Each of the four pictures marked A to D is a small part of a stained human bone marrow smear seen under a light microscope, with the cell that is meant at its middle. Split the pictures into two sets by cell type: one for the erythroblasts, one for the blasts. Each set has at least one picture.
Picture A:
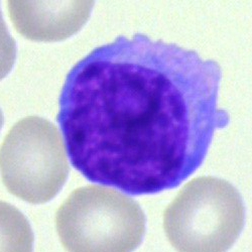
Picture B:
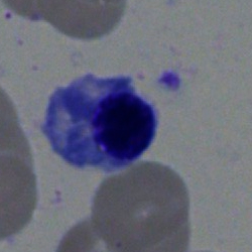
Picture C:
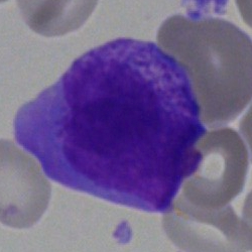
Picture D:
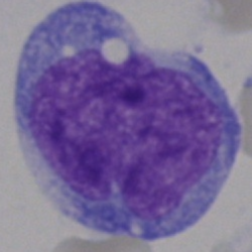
A: blast
B: erythroblast
C: blast
D: blast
